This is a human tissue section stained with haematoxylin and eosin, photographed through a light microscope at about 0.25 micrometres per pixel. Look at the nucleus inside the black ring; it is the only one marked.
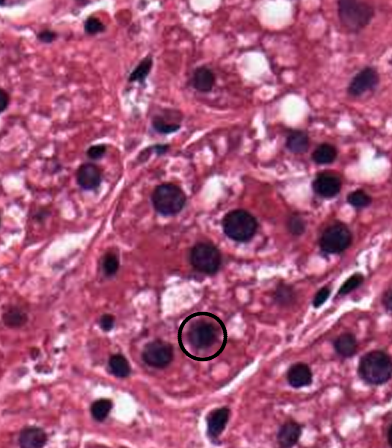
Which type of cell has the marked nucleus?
adrenal cortical cell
